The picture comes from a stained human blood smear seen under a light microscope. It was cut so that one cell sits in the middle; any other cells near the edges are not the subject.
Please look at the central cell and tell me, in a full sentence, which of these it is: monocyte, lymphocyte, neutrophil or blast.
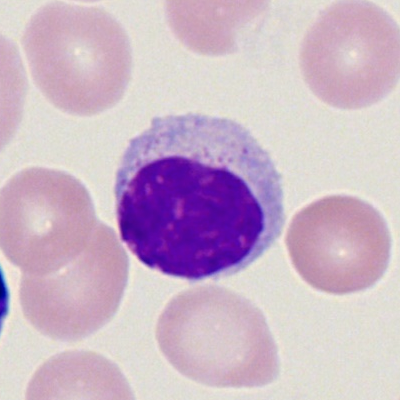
The cell found in the middle of this crop is a lymphocyte.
